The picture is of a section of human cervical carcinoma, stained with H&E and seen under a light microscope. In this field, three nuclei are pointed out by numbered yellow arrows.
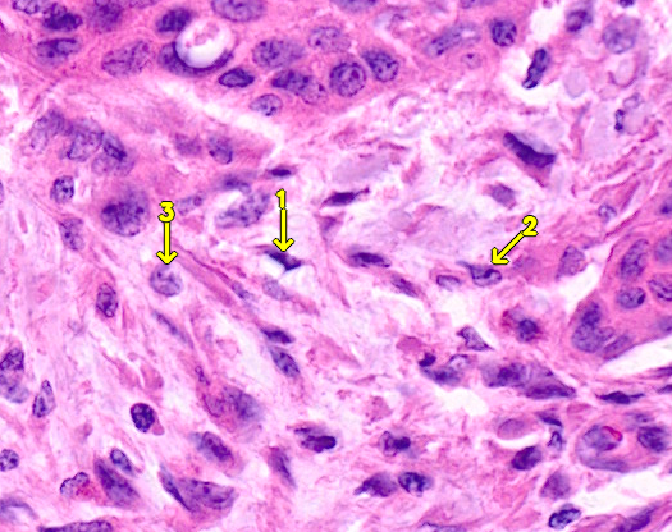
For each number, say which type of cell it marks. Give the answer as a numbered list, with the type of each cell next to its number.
1. fibroblast
2. macrophage or monocyte
3. fibroblast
